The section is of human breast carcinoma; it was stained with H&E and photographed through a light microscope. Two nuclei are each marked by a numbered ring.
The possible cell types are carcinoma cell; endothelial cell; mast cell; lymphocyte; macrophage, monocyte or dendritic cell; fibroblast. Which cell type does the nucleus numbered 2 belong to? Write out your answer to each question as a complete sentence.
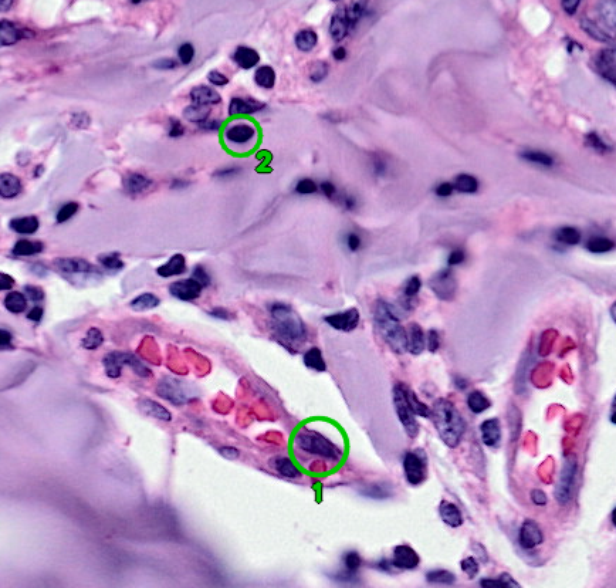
The cell bearing label 2 corresponds to a lymphocyte.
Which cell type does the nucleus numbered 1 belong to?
The cell referenced by the number 1 is an endothelial cell in this field.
